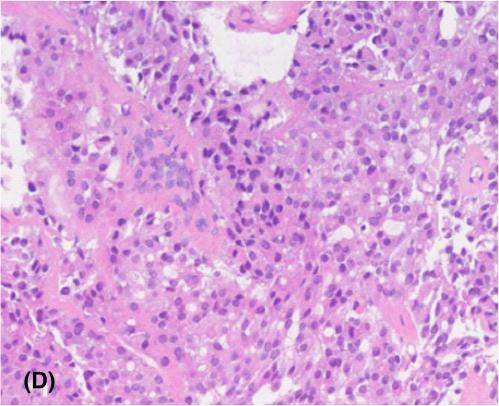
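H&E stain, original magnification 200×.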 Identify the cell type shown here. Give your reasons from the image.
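Polygonal cells with round nuclei and ample pale pink cytoplasm. The cells lie in cohesive sheets and nests.
Epithelioid neoplastic cells.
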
